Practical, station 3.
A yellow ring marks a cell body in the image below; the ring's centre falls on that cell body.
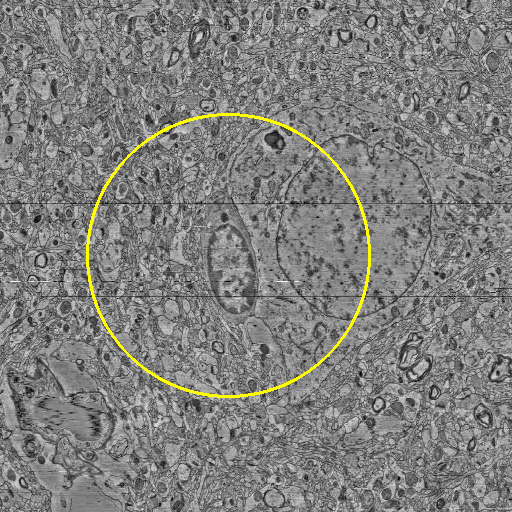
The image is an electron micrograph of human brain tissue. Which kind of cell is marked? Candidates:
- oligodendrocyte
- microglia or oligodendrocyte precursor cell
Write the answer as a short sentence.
The marked cell body is that of an oligodendrocyte.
